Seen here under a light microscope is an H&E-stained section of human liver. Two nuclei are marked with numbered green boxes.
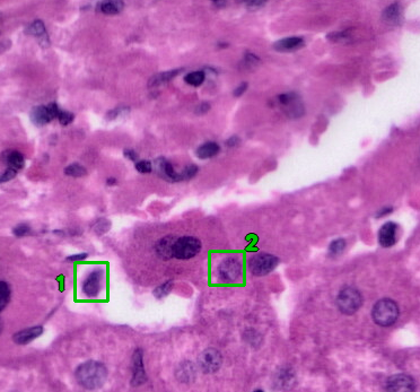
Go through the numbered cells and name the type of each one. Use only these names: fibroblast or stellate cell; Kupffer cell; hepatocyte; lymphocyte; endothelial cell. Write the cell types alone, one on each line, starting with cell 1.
Kupffer cell
hepatocyte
